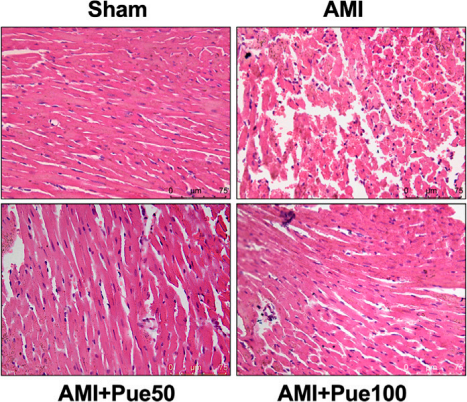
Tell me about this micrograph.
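Four fields of heart muscle stained pink with purple nuclei show cardiomyocytes. In three fields the cardiomyocytes form long parallel fibres with oval nuclei and narrow clefts between them. In the upper right field the fibres are broken into short, irregular fragments at varied angles, separated by wide pale spaces with scattered nuclei, a picture of disarranged and disordered muscle.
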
